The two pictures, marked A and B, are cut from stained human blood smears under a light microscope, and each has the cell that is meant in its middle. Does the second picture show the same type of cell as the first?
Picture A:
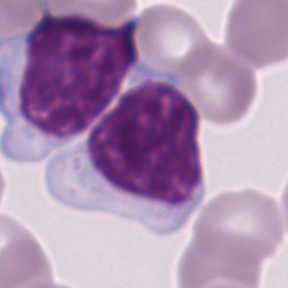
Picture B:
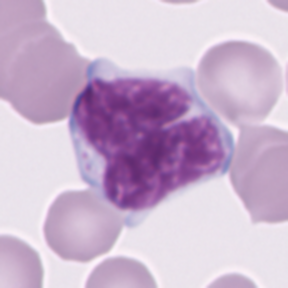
yes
